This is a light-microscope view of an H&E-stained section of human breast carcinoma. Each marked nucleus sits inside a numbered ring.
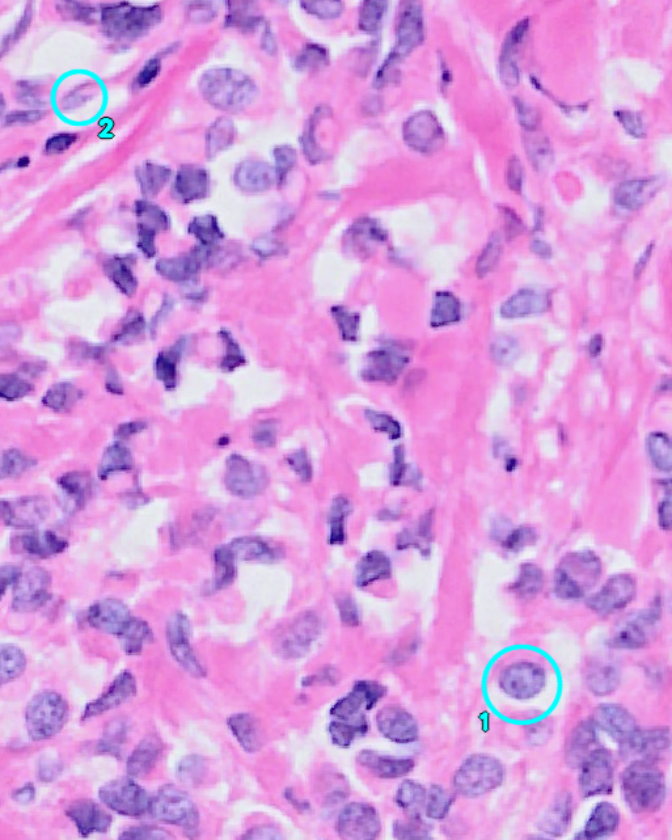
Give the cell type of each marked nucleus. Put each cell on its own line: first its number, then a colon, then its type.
1: carcinoma cell
2: endothelial cell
